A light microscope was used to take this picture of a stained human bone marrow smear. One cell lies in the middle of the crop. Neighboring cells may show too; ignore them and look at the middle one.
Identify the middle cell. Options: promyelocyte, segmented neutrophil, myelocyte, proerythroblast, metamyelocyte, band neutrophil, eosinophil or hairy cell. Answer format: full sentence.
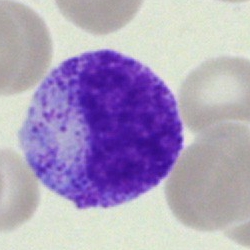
The cell occupying the middle of the crop is a myelocyte.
